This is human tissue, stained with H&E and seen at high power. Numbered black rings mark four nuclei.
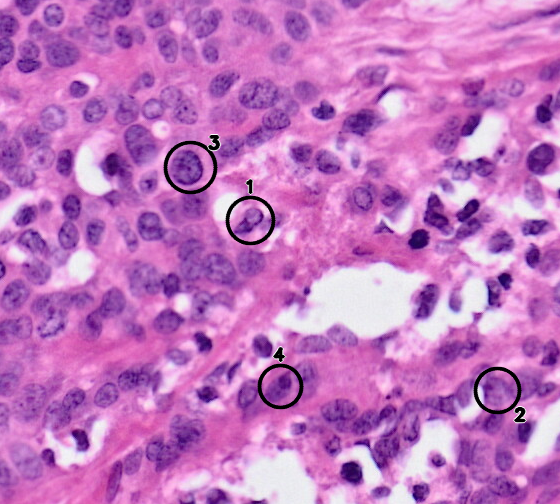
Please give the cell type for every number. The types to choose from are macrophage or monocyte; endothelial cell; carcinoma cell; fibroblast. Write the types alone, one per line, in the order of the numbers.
macrophage or monocyte
carcinoma cell
carcinoma cell
carcinoma cell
